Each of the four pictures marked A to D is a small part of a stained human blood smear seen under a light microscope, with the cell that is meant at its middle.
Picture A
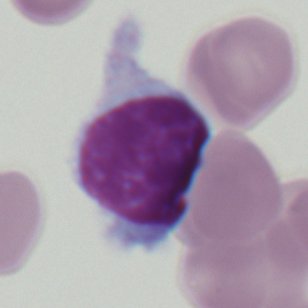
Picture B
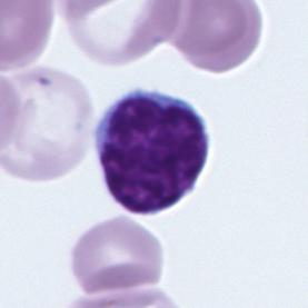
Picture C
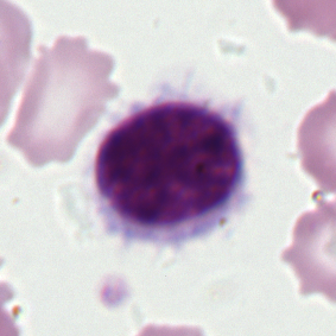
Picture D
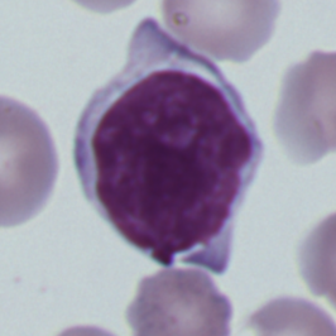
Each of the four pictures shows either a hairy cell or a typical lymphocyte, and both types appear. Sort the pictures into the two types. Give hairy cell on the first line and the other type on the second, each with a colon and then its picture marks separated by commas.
hairy cell: C
typical lymphocyte: A, B, D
